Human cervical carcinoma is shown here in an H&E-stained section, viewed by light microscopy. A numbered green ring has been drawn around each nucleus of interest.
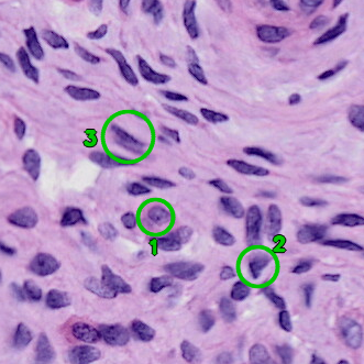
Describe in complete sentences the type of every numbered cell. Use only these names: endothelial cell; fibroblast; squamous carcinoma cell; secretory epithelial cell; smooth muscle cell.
Cell 1 is an endothelial cell, cell 2 is a fibroblast and cell 3 is a fibroblast.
